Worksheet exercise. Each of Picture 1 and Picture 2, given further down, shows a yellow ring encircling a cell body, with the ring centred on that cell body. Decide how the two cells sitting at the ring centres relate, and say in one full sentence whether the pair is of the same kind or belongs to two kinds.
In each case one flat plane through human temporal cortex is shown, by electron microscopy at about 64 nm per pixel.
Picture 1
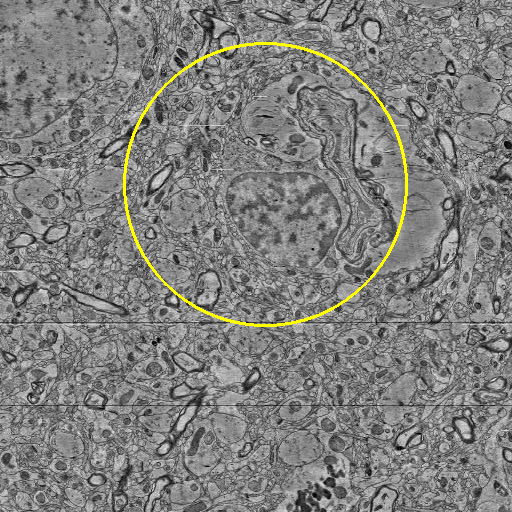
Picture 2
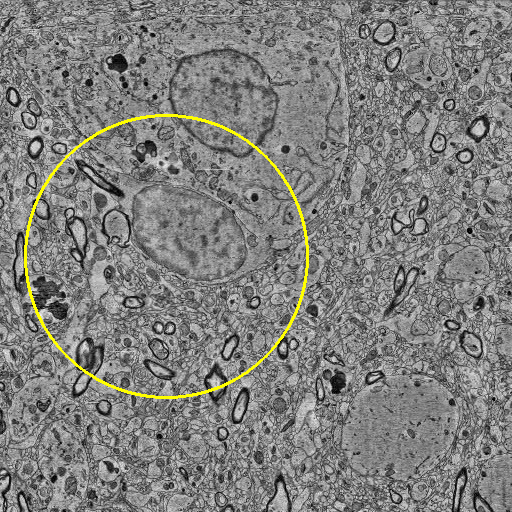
The cells at the ring centres in Picture 1 and Picture 2 are of the same kind.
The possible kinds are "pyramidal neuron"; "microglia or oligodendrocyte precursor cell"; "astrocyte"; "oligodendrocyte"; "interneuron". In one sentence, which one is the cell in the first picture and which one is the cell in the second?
Each of the ringed cells, first and second, is an oligodendrocyte.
